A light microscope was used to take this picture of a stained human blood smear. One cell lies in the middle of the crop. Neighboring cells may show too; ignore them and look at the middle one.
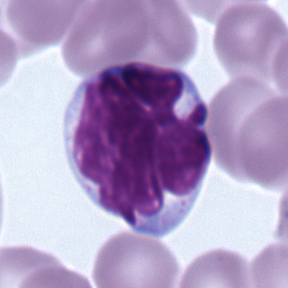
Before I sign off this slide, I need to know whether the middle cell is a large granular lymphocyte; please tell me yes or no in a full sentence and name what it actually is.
Yes, the cell that is in the middle is a large granular lymphocyte.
